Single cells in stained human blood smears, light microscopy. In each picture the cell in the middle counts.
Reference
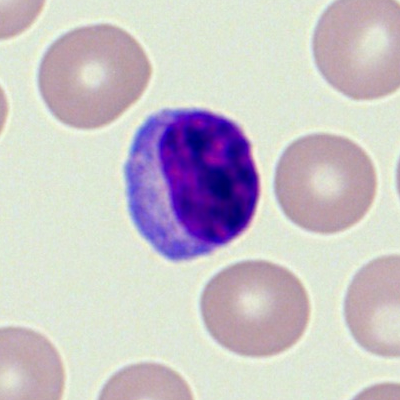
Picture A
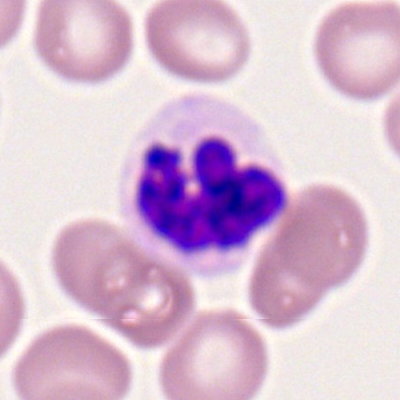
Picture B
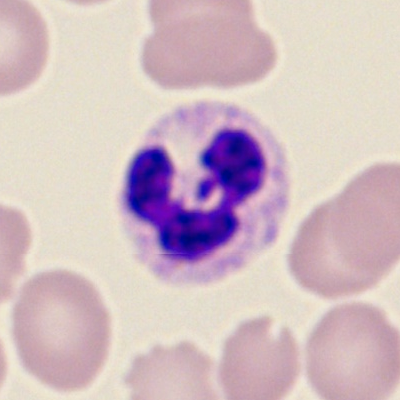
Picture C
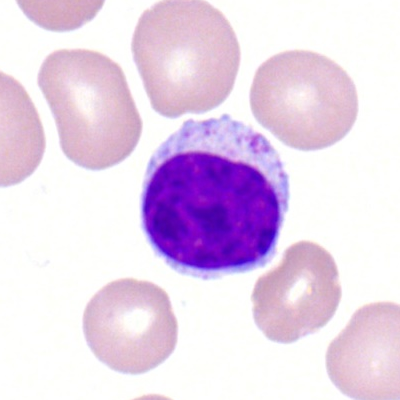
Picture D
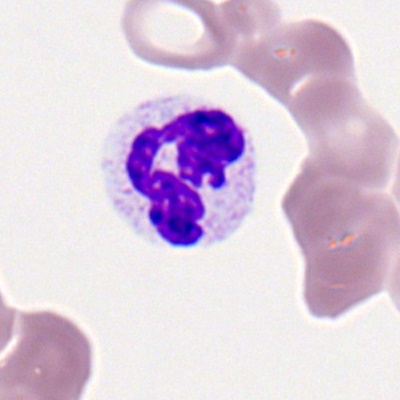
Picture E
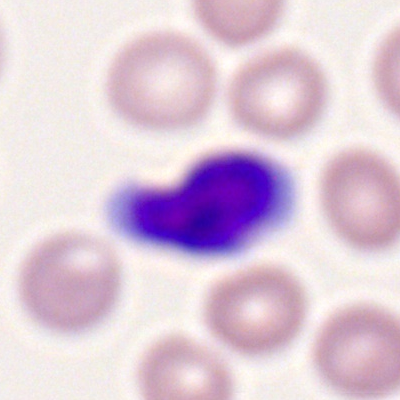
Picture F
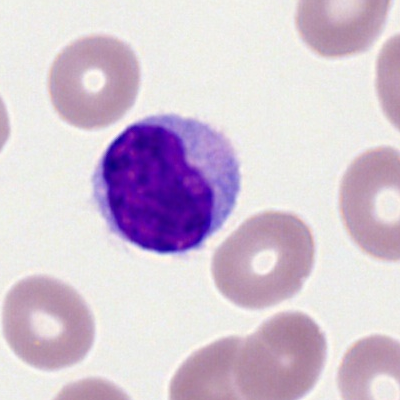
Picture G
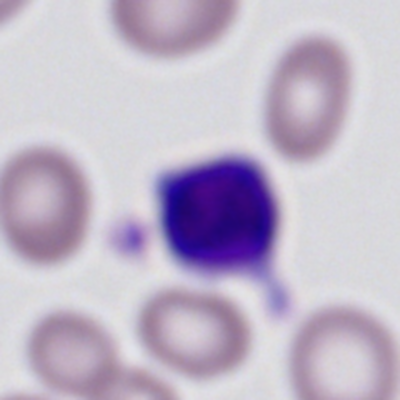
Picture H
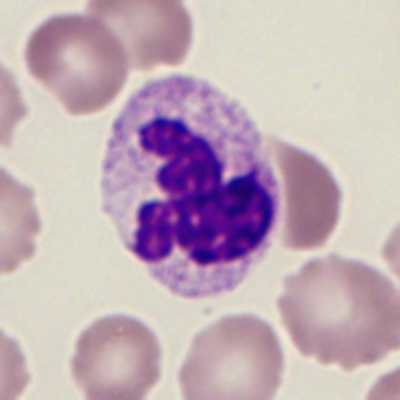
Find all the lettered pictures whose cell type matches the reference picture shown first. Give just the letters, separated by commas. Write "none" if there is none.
C, E, F, G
